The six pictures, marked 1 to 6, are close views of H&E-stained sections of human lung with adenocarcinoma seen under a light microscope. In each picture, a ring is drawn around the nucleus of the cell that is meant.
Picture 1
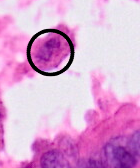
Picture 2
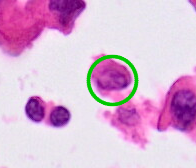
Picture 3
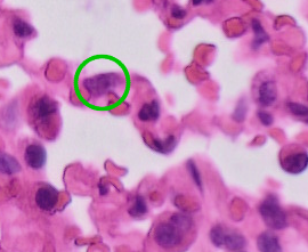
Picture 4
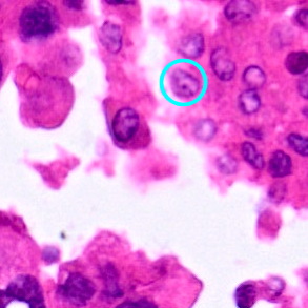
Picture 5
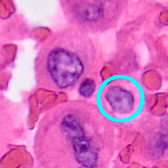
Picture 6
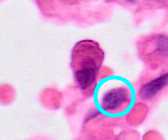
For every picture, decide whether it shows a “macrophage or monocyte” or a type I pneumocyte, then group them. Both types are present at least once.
1: macrophage or monocyte
2: macrophage or monocyte
3: type I pneumocyte
4: macrophage or monocyte
5: macrophage or monocyte
6: type I pneumocyte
